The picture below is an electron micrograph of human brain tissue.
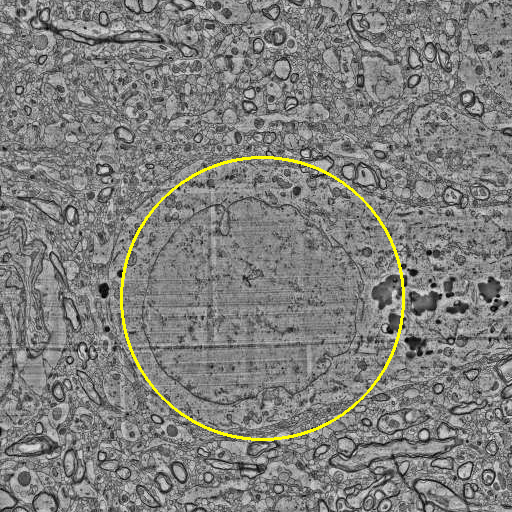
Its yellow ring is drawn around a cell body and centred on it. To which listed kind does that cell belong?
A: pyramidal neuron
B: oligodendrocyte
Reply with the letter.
A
